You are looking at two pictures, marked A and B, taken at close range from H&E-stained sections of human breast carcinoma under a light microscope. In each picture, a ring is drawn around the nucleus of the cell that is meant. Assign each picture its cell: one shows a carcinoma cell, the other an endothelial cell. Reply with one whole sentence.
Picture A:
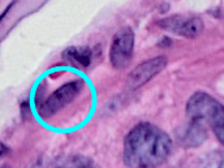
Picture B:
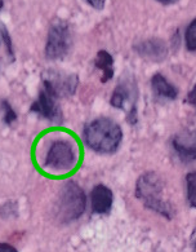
The cell in picture A is an endothelial cell, and the one in picture B is a carcinoma cell.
